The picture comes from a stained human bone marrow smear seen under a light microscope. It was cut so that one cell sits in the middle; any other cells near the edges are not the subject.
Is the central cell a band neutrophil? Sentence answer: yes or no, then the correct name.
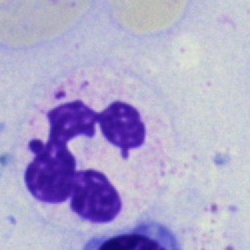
No, instead of a band neutrophil, the centred cell represents a segmented neutrophil.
